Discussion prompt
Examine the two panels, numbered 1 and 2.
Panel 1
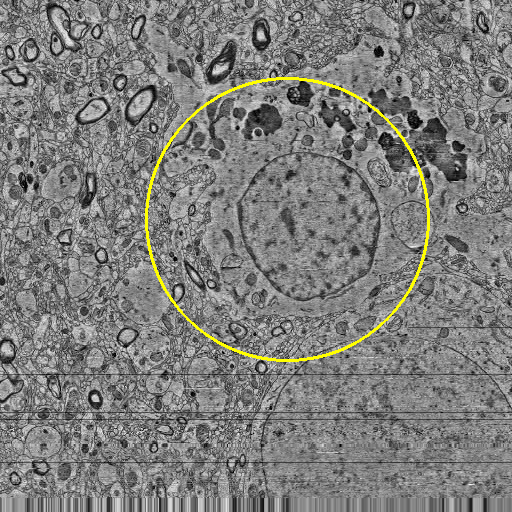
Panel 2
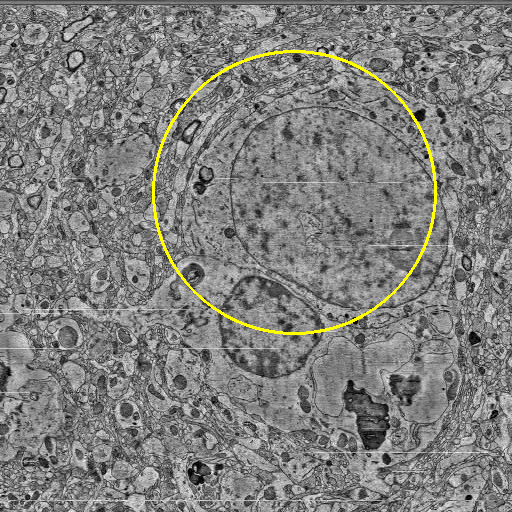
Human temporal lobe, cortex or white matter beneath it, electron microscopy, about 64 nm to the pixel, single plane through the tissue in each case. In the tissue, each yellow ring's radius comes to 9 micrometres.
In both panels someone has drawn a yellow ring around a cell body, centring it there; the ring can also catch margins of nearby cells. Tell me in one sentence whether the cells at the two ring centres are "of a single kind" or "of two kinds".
Taken together, the two cells centred in the rings of Panels 1 and 2 are of two kinds.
